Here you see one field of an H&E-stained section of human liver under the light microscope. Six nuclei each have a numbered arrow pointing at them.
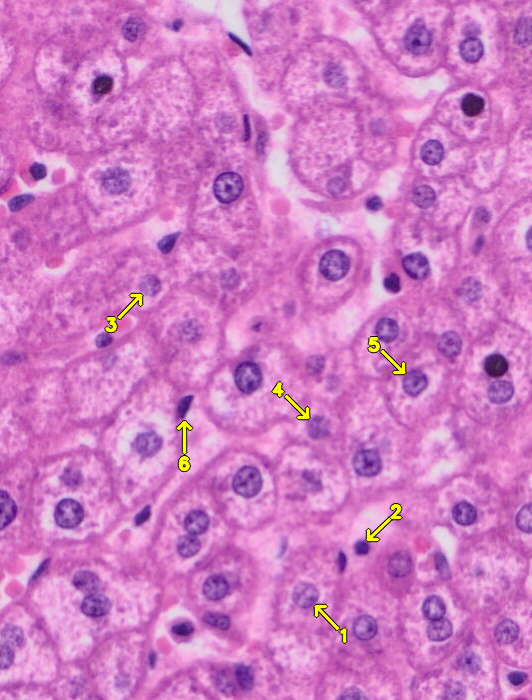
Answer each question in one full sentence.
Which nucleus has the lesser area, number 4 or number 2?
Nucleus 2 is the smaller one; nucleus 4 covers about 2 times its area.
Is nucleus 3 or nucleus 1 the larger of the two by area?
At about 1.5 times the area of nucleus 3, nucleus 1 is the larger of the two.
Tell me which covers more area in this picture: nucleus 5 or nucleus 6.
Number 5 is larger; its area is about 2 times that of number 6.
